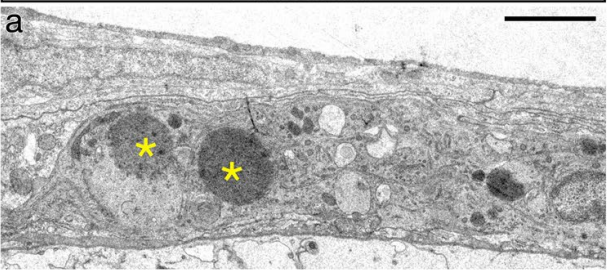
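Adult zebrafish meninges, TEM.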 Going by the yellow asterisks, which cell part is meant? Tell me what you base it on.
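Two large round bodies lie side by side within one cell. On this evidence: large, round, densely and homogenously-stained inclusions.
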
